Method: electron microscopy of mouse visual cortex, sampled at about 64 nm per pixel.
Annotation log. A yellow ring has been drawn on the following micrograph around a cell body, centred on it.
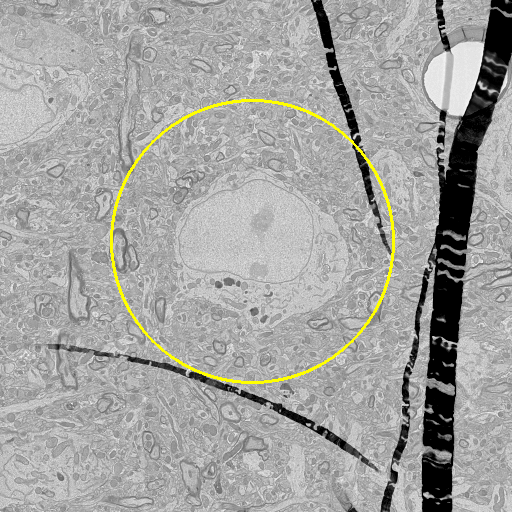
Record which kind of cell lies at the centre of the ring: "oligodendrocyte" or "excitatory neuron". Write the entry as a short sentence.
The cell the ring is centred on is an excitatory neuron.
